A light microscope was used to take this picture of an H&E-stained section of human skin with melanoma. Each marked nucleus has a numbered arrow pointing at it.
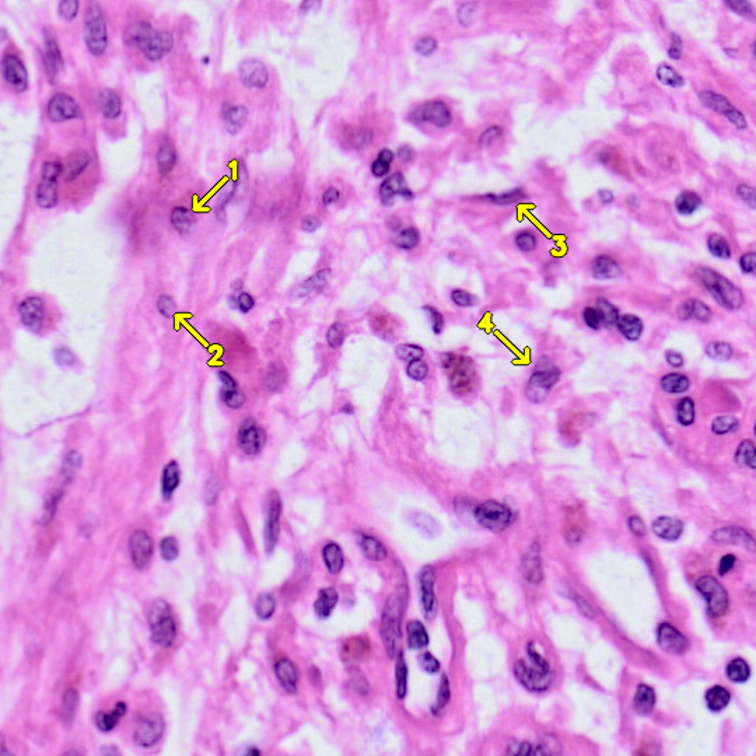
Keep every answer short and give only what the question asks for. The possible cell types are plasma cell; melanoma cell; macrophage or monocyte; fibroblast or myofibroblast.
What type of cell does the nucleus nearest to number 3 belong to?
macrophage or monocyte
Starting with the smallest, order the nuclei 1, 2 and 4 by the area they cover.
2, 1, 4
